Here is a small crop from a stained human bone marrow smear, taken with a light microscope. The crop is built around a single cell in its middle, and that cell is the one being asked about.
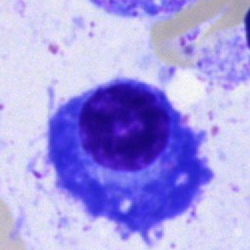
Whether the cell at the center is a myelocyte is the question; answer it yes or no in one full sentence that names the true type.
No, what is centred in the crop is not a myelocyte but a plasma cell.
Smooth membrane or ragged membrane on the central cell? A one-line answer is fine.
The perimeter of the cell is irregular, with ragged sections or outward projections.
